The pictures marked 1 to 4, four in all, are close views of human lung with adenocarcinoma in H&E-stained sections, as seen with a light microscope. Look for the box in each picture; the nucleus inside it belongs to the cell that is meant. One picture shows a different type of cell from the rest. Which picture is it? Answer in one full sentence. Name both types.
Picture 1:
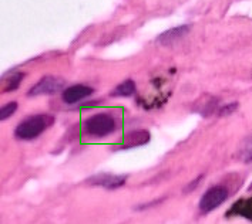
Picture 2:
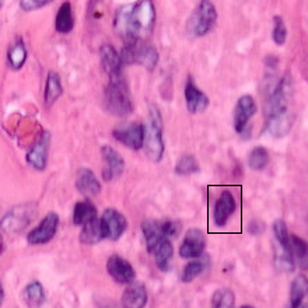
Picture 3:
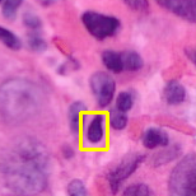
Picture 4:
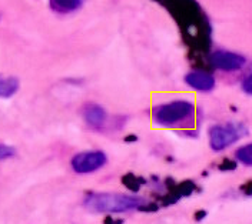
The others show plasma cells, but picture 3 shows a lymphocyte.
